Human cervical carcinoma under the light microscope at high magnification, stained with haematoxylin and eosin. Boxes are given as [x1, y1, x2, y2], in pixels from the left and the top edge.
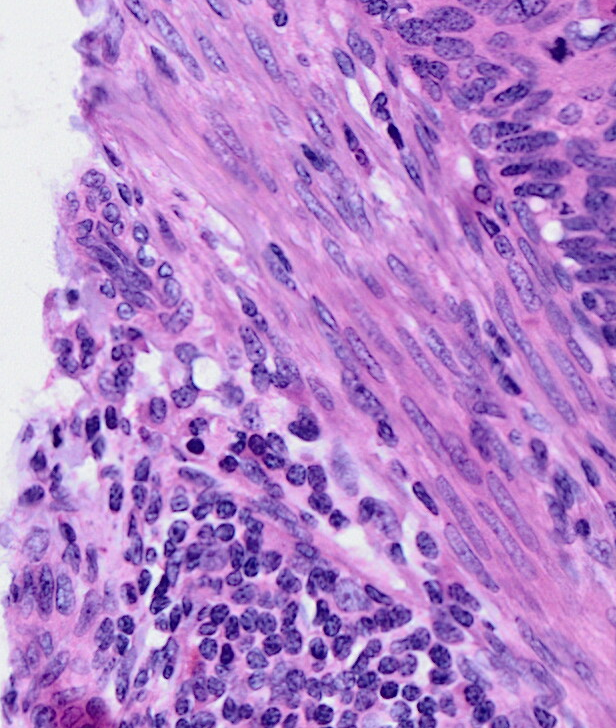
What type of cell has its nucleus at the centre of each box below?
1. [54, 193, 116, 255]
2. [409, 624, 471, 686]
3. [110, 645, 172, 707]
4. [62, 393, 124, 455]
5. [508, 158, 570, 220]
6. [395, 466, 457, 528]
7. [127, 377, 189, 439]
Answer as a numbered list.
1. endothelial cell
2. lymphocyte
3. lymphocyte
4. lymphocyte
5. squamous carcinoma cell
6. lymphocyte
7. macrophage or monocyte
